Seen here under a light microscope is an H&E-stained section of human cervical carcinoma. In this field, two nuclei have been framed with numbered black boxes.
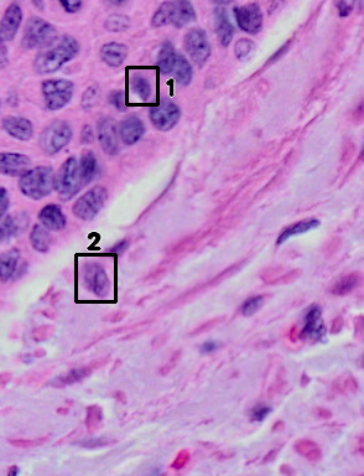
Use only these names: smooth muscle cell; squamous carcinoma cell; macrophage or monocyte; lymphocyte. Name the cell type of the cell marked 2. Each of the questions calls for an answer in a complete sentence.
It is as a macrophage or monocyte that the cell numbered 2 is identified.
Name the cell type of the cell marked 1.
Denoted by the label 1 in the section is a squamous carcinoma cell.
